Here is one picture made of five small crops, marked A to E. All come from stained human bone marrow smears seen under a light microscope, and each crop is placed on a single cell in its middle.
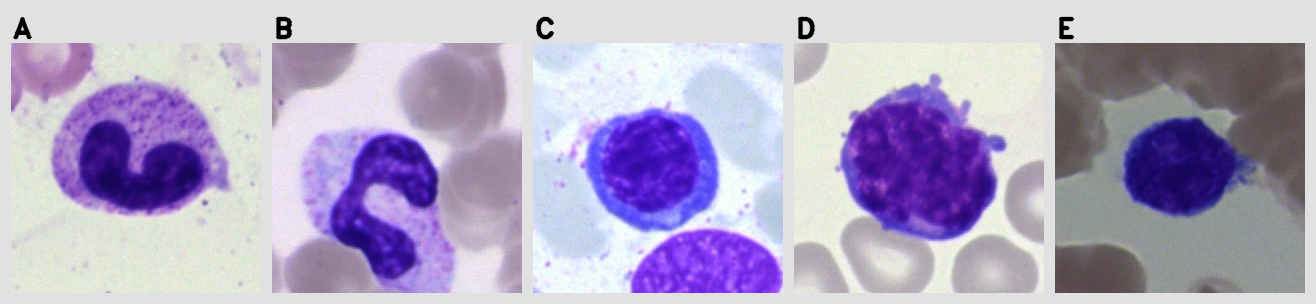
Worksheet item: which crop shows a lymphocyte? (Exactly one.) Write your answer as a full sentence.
The requested cell, a lymphocyte, is the one in crop E.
